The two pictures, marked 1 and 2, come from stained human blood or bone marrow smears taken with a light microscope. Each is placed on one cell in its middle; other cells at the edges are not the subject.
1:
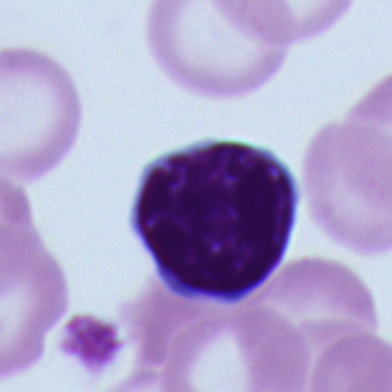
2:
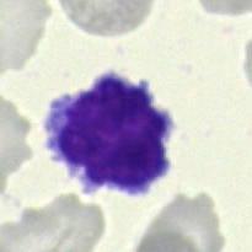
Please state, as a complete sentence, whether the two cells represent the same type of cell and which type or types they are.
Yes, put down lymphocytes for both crops.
